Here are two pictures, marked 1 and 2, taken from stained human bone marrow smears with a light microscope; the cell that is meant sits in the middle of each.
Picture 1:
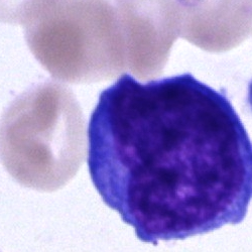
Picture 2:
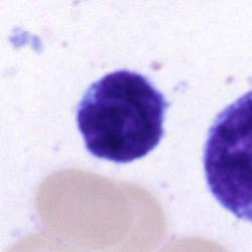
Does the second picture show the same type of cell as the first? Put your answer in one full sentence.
No, the types are not the same, since picture 1 shows a blast and picture 2 a lymphocyte.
